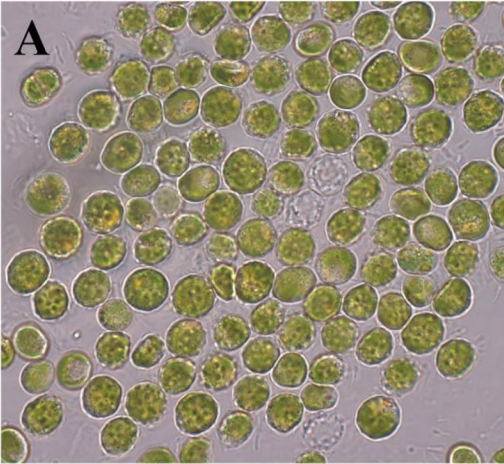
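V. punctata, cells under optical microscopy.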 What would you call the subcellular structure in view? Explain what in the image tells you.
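Single parietal, much-lobed chloroplast. Each cell is filled mostly by one green body lying against the cell wall. The green body is uneven, with paler gaps and lobes.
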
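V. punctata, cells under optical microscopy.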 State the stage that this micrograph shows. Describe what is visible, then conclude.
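Separate, non-motile round green cells with a clear outer wall. Many cells contain yellow to orange granules within the green cytoplasm. On this evidence: Mature vegetative cells.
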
